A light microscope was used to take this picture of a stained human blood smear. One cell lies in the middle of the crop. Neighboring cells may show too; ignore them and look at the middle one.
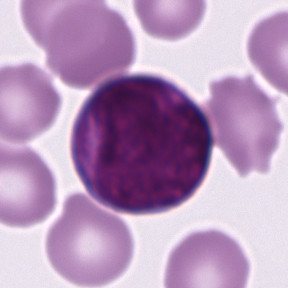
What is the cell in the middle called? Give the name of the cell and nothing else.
myeloblast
